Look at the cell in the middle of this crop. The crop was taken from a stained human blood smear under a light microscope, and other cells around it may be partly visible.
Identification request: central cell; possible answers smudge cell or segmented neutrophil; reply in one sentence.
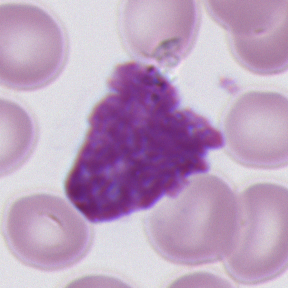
Of the cells in this crop, the central one is a smudge cell.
